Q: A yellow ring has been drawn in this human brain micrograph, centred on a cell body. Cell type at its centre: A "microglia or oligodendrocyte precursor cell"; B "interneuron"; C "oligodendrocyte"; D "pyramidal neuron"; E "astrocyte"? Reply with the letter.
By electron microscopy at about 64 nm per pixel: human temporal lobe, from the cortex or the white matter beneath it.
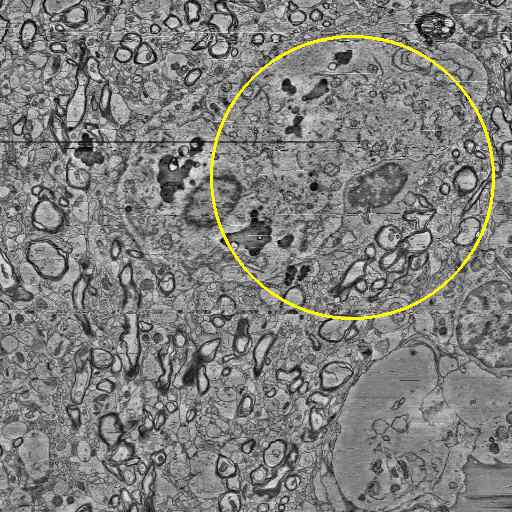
C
